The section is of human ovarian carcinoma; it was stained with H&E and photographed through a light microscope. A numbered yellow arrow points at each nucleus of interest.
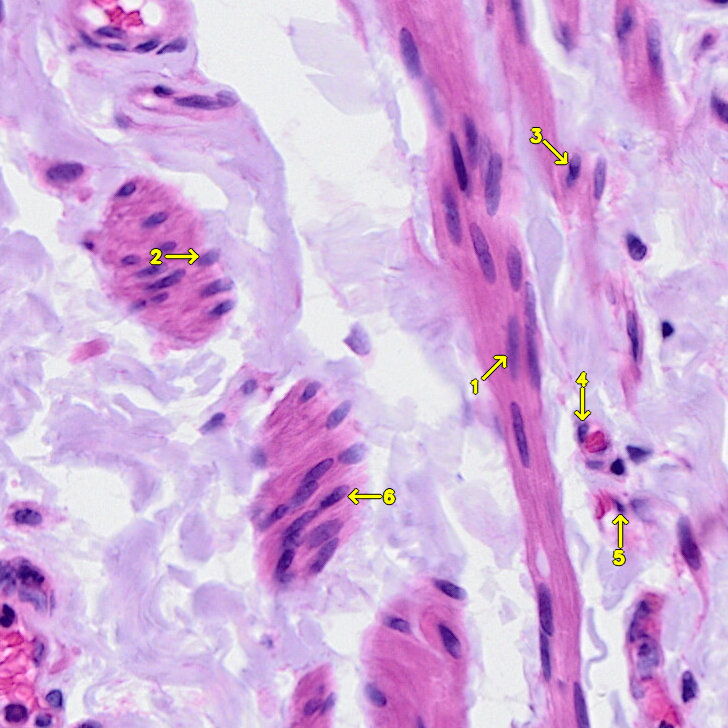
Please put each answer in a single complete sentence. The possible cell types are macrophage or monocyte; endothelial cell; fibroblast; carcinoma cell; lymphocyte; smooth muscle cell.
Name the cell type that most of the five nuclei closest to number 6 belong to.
Around number 6, most of the five nearest nuclei are those of smooth muscle cells.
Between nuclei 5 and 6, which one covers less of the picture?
It is nucleus 5; nucleus 6 has about 2.5 times its area.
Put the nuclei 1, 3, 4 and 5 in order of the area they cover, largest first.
The nuclei rank 1, 3, 4, 5, from largest to smallest.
